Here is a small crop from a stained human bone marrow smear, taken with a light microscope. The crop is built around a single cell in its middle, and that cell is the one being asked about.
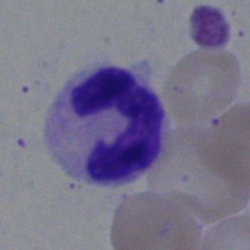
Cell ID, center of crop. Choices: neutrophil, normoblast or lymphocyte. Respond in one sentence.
In the centre of this crop there is a neutrophil.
